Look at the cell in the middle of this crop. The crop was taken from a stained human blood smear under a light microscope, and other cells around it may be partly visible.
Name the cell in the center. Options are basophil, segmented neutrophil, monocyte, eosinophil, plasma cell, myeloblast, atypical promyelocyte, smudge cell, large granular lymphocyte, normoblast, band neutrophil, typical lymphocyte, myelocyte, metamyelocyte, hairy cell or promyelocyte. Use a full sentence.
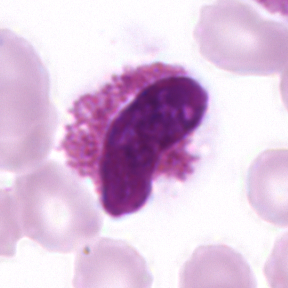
The target cell in the middle of the crop is an eosinophil.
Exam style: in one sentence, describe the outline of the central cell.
Along the periphery, ragged stretches or projections make the outline irregular.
